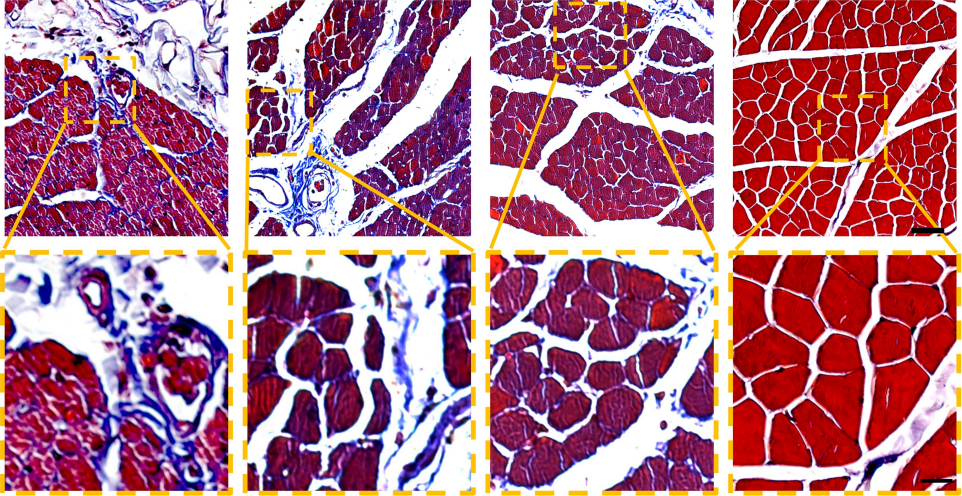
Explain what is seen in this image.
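From left to right the fibers become larger and more regular in outline, while the blue connective tissue between them, prominent around vessels and loose tissue in the left-hand images, becomes sparse. In the rightmost images the large fibers are evenly red and separated only by thin pale seams.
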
